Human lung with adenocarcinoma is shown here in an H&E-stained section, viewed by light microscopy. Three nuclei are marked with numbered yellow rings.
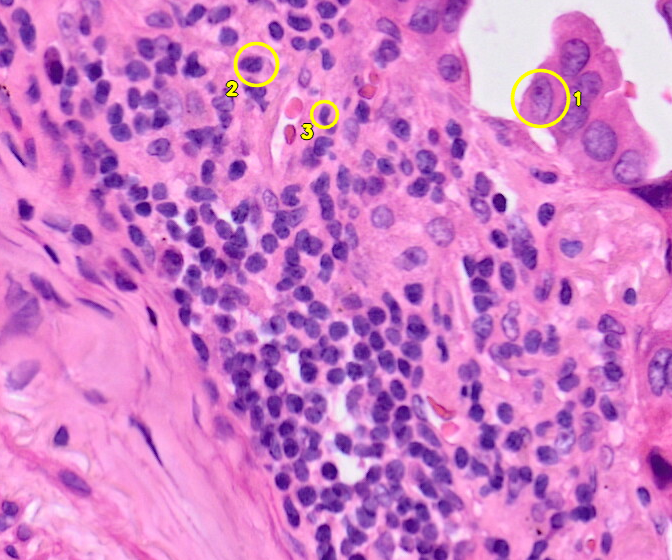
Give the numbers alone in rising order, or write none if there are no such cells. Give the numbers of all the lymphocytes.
2, 3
